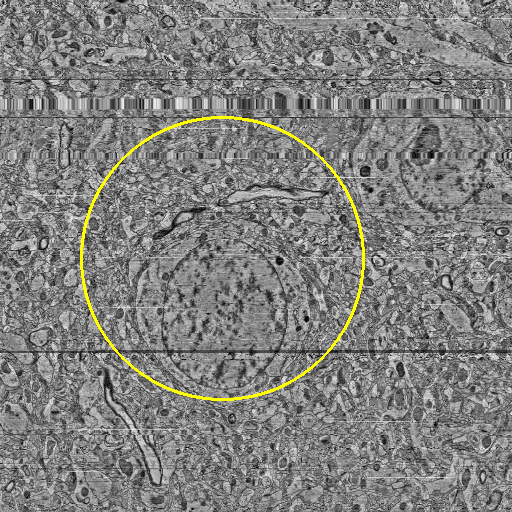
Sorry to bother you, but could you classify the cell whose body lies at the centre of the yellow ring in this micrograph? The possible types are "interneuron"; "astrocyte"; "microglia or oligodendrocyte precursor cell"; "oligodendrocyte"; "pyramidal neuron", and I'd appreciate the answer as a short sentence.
The ringed cell body is that of a pyramidal neuron.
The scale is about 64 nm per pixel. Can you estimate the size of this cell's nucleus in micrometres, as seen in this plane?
The ringed cell's nucleus is about 10 micrometres long and 8 micrometres wide in this plane.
